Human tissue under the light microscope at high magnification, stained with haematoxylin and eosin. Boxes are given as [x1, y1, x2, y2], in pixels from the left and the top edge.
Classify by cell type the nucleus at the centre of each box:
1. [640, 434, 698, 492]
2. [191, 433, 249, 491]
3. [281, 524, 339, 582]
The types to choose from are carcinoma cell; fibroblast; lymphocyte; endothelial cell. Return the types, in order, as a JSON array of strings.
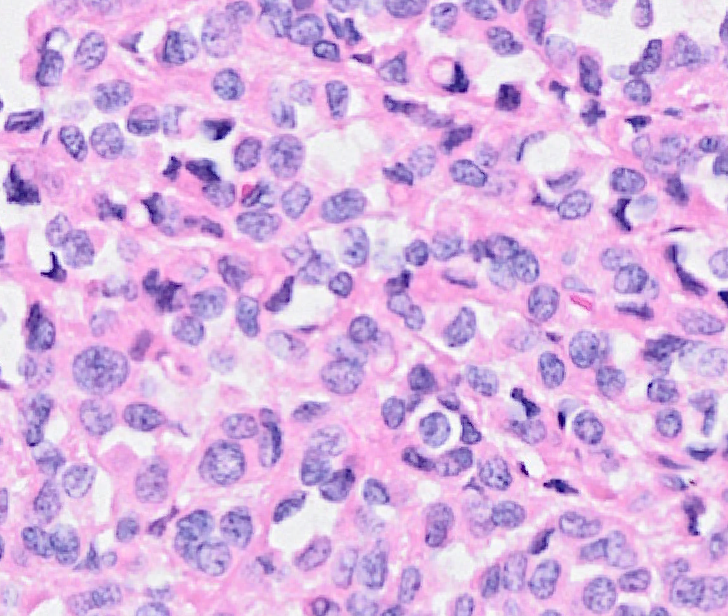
["endothelial cell", "carcinoma cell", "carcinoma cell"]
